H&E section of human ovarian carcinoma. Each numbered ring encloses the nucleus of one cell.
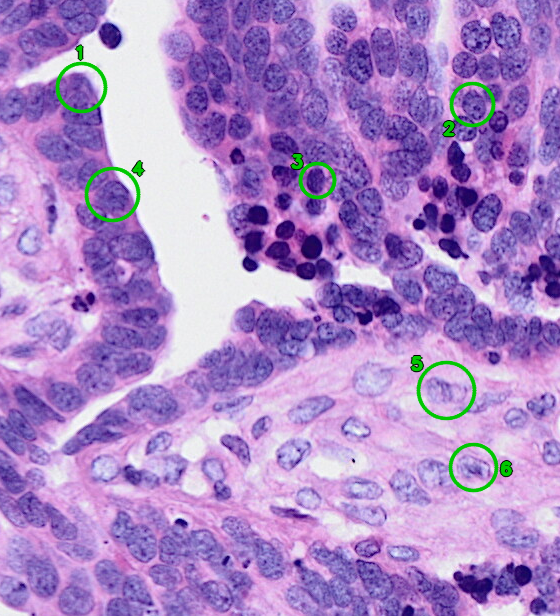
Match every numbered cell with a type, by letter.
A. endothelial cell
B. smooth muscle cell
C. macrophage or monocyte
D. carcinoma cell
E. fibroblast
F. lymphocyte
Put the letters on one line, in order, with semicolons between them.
D; D; D; D; E; E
